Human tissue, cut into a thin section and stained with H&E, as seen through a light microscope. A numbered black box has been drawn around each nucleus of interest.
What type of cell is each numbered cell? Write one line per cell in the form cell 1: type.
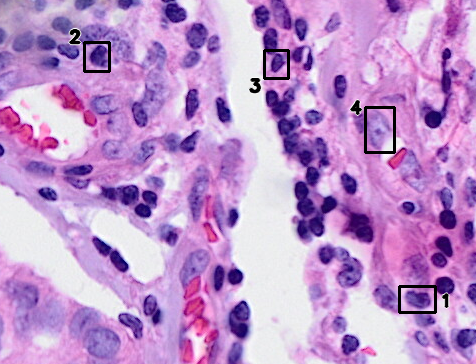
cell 1: lymphocyte
cell 2: lymphocyte
cell 3: lymphocyte
cell 4: endothelial cell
